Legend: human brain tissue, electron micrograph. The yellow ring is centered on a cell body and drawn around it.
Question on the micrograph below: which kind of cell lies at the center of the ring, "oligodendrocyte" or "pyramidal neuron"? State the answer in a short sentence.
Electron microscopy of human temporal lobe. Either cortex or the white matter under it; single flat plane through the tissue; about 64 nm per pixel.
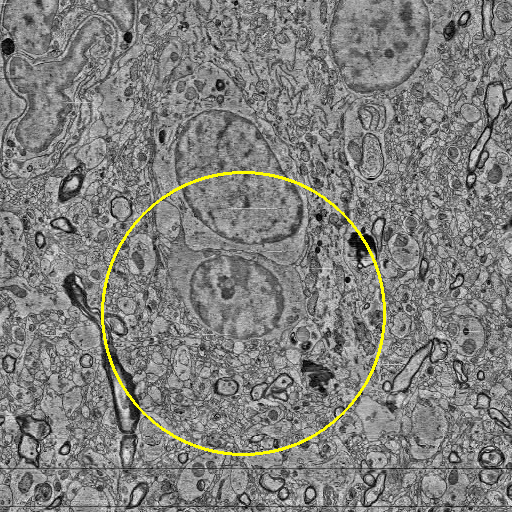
At the center of the ring lies an oligodendrocyte.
